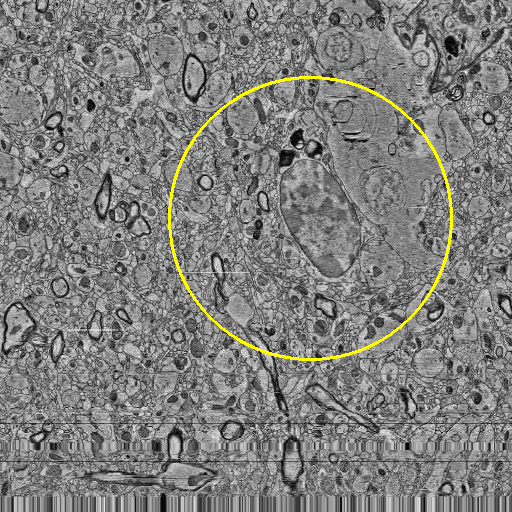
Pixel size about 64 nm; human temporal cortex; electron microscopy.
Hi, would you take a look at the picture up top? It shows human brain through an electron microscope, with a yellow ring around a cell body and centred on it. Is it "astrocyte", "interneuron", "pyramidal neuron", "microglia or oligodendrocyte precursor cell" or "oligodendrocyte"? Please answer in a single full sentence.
The best fit for the cell in the middle of the ring is a microglial cell or oligodendrocyte precursor cell, I reckon.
